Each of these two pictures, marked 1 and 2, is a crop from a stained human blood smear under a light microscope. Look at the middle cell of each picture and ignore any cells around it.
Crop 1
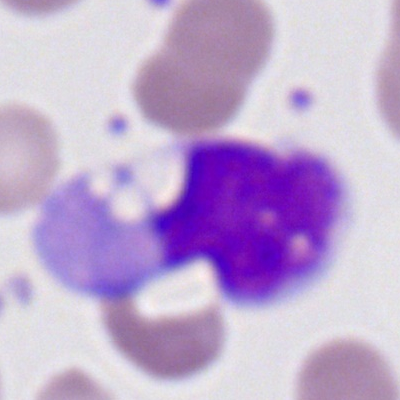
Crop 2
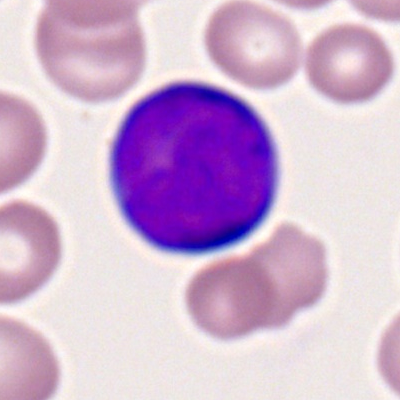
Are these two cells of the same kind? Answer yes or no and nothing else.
no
